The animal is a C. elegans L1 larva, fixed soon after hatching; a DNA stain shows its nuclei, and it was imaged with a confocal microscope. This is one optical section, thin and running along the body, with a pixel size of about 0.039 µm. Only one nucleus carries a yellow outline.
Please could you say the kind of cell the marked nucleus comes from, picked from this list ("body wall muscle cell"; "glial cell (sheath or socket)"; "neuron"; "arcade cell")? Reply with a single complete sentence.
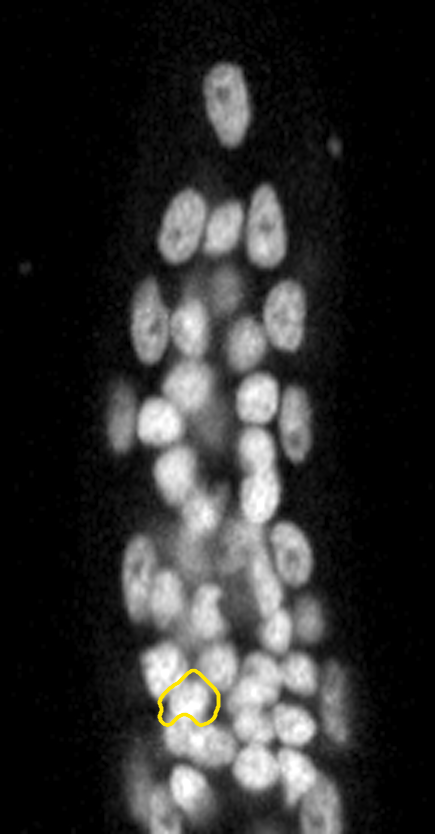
What is marked is the nucleus of a neuron.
